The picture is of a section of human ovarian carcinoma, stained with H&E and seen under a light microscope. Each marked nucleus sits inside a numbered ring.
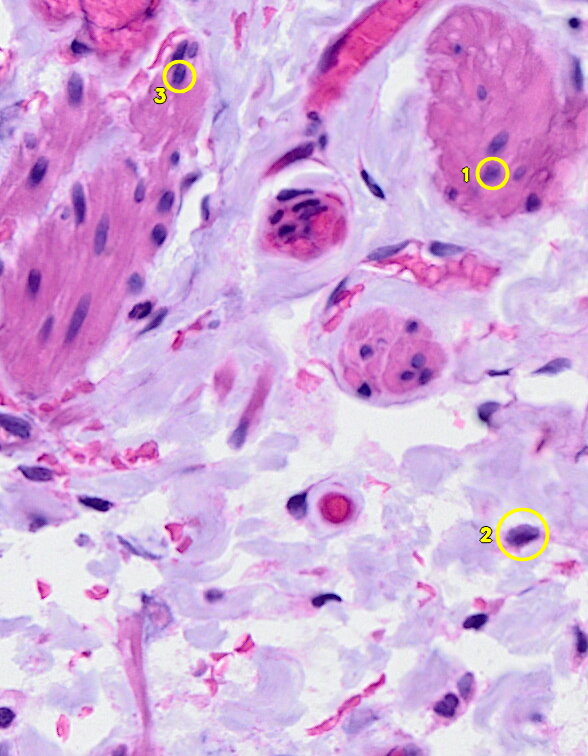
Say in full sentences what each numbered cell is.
Cell 1 is a smooth muscle cell, cell 2 is a fibroblast and cell 3 is a smooth muscle cell.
